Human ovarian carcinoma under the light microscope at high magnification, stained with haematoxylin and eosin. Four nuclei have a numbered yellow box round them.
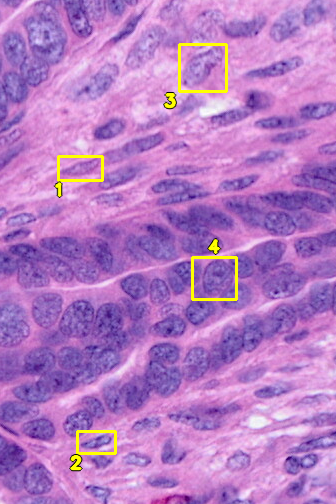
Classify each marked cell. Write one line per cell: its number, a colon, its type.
1: fibroblast
2: fibroblast
3: fibroblast
4: carcinoma cell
